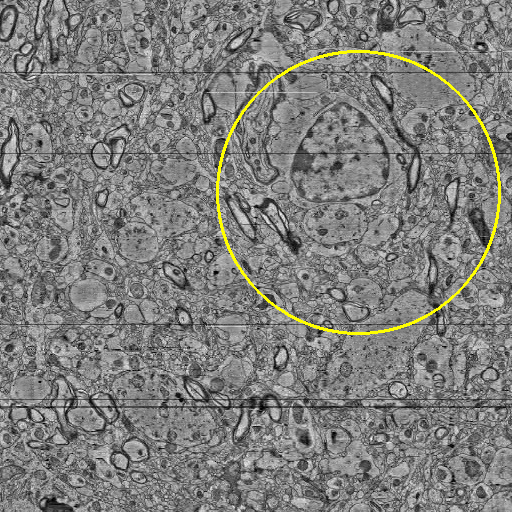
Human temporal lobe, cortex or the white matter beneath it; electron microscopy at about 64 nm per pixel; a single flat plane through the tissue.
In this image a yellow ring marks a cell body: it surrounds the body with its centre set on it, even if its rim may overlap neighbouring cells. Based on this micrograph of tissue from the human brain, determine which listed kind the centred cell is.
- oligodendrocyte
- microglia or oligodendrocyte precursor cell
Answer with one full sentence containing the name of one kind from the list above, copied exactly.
It is a microglial cell or oligodendrocyte precursor cell whose body the yellow ring encloses at its centre.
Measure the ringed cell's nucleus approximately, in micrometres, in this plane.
The nucleus of the ringed cell is approximately 6 micrometres across in this plane.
